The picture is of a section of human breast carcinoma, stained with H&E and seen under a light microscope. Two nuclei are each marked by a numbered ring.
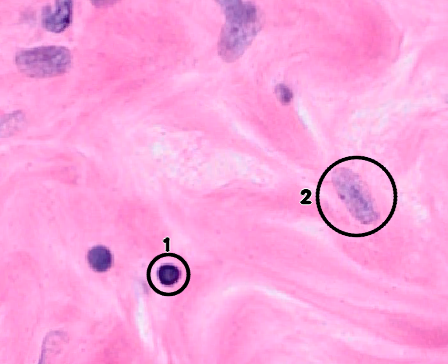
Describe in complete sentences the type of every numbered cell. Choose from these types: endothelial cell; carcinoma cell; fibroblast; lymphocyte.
Cell 1 is a lymphocyte and cell 2 is a fibroblast.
